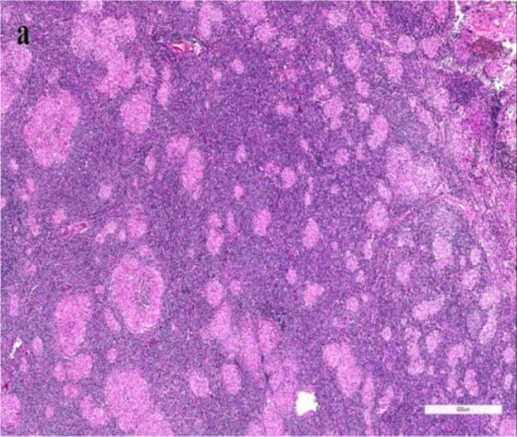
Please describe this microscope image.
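A lymph node with granulomatous inflammation, seen at low power. The background is dense, dark purple lymphoid tissue packed with small cells. Many pale pink rounded nodules are scattered through it. They vary from small round foci to large areas, and some run together into irregular patches. The nodules are lighter and more eosinophilic than the surrounding tissue because their cells have more pink cytoplasm. Fibrous pink strands and a few vessels cross the tissue. Toward the upper right edge there is looser, paler connective tissue. At this magnification single cells within the nodules cannot be made out clearly.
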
